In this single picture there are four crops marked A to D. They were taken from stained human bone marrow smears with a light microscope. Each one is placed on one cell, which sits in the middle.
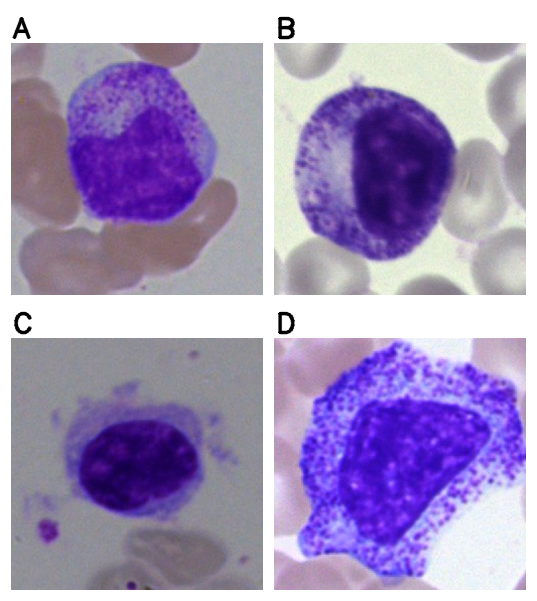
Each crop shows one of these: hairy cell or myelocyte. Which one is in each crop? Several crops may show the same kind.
A: myelocyte
B: myelocyte
C: hairy cell
D: myelocyte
